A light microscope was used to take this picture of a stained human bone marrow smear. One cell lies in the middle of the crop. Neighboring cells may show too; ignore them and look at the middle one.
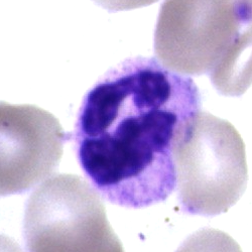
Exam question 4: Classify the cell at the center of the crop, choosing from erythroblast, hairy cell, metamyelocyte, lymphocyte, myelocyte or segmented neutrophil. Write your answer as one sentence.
Of the cells in this crop, the central one is a segmented neutrophil.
